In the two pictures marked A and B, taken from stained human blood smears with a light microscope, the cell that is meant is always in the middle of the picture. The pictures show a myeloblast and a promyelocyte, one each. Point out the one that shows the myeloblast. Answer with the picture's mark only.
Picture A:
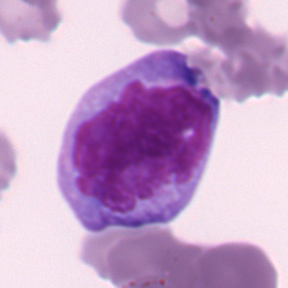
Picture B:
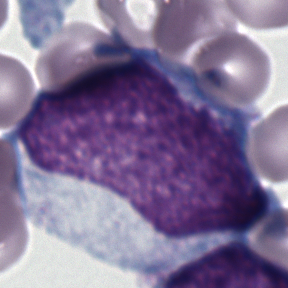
A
